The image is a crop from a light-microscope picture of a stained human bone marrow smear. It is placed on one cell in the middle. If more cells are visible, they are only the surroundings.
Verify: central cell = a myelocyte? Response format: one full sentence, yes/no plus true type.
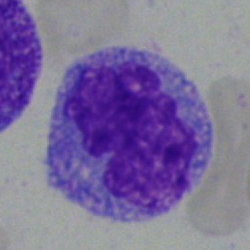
No, in this crop the central cell is a monocyte instead of a myelocyte.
